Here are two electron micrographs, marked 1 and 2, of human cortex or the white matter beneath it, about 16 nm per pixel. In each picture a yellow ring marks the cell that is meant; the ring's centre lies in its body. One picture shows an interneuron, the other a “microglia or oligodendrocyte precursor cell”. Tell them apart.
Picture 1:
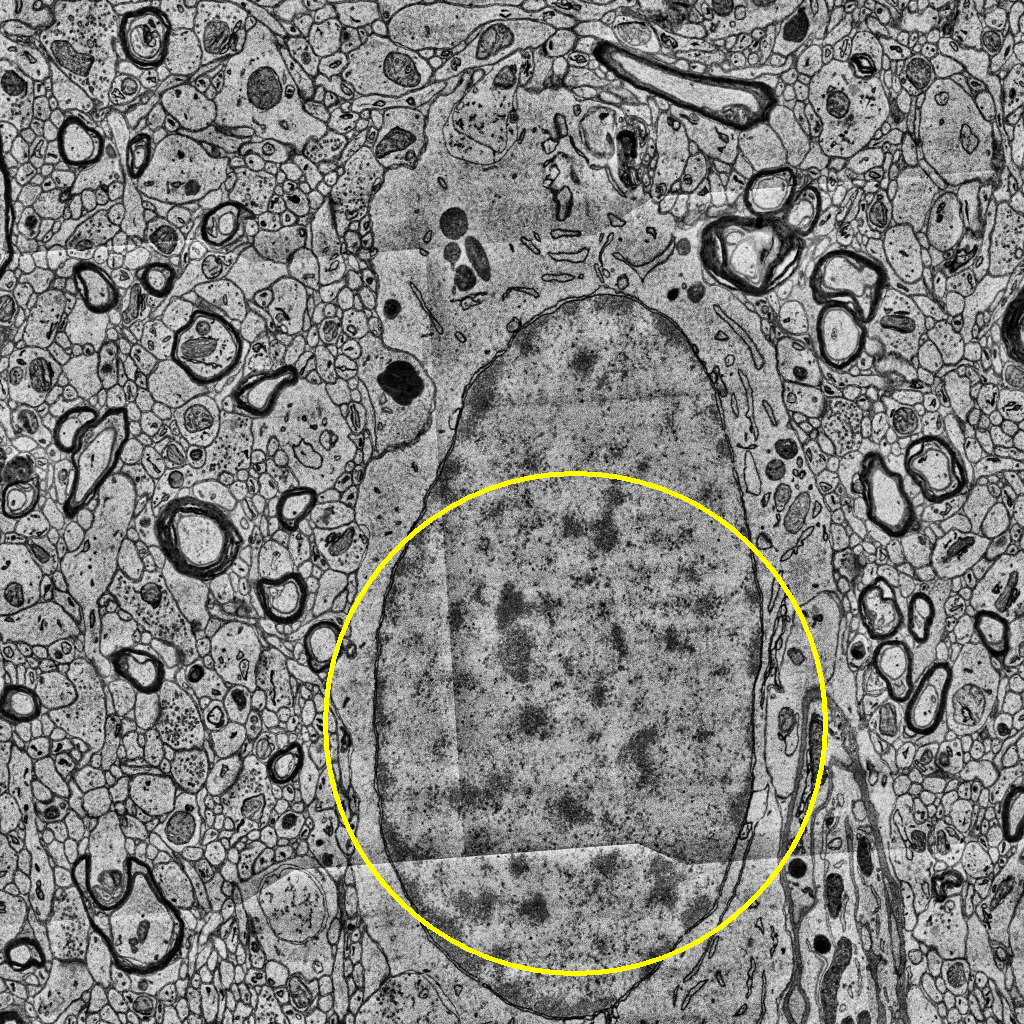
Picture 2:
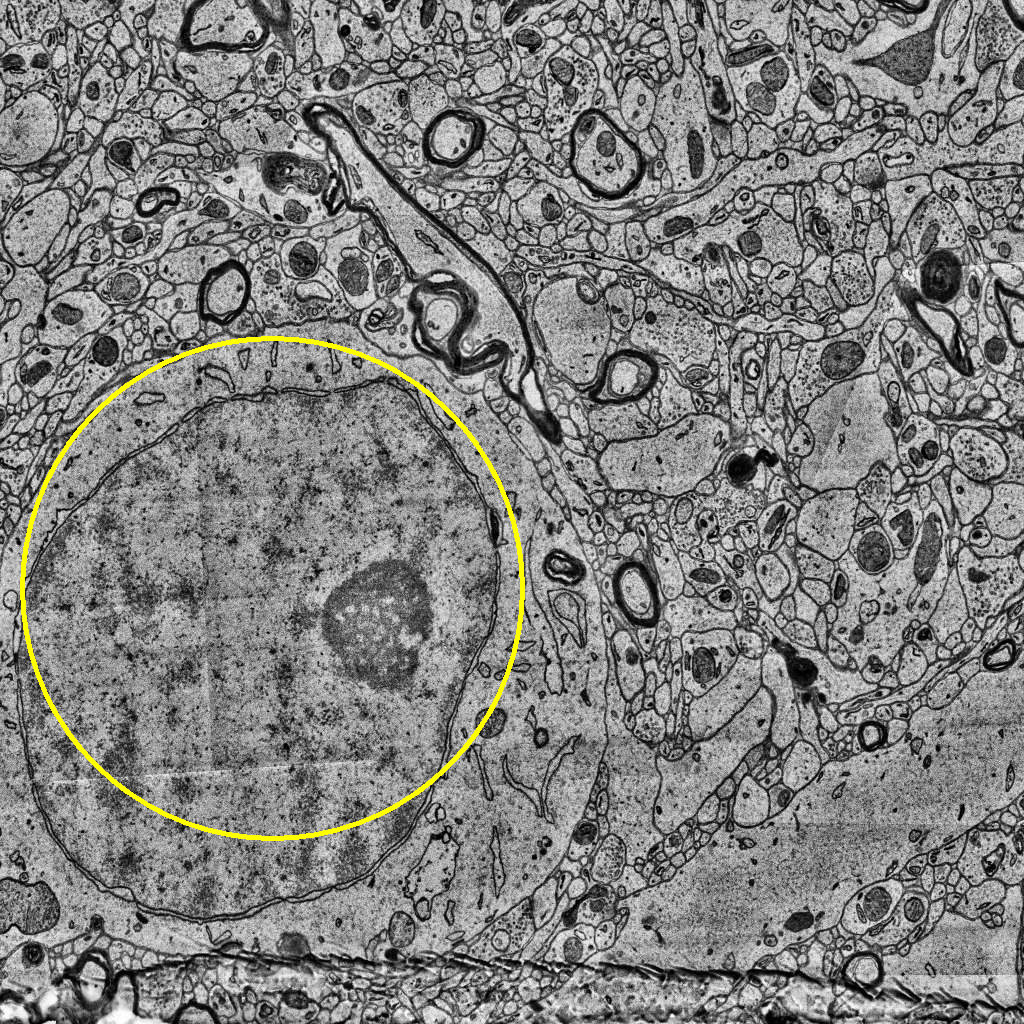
Picture 2 shows an interneuron, while picture 1 shows a “microglia or oligodendrocyte precursor cell”.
